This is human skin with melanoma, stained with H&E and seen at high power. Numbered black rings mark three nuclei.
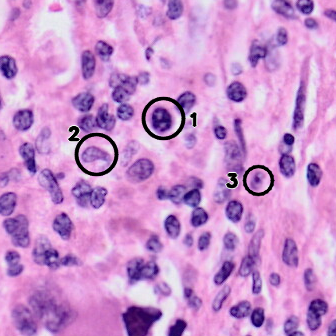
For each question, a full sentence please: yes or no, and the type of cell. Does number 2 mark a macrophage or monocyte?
Yes, number 2 is assigned to a cell that is a macrophage or monocyte.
